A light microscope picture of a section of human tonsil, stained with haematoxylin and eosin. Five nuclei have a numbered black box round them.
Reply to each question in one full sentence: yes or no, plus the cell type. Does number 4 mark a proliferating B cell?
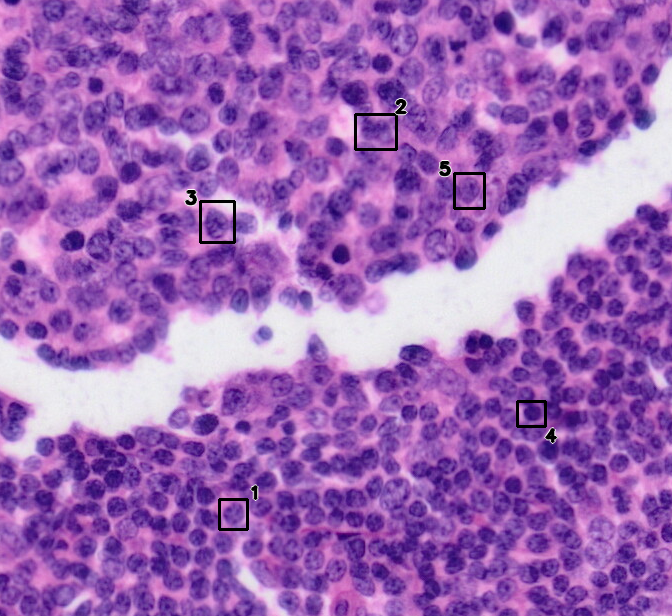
No, number 4 points to a small lymphocyte and not to a proliferating B cell.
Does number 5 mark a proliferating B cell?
Yes, the cell that goes by number 5 is a proliferating B cell.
